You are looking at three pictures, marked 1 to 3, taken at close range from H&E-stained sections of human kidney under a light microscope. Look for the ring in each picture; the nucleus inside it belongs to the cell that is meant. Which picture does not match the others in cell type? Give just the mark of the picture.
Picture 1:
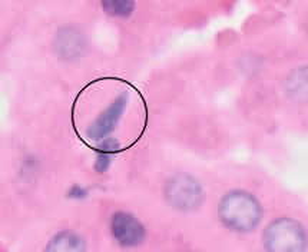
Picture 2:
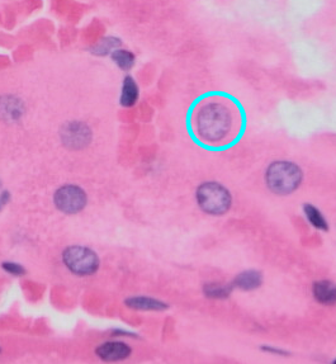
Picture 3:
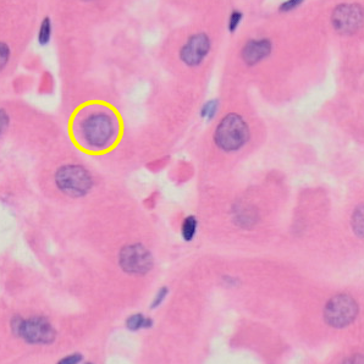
1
